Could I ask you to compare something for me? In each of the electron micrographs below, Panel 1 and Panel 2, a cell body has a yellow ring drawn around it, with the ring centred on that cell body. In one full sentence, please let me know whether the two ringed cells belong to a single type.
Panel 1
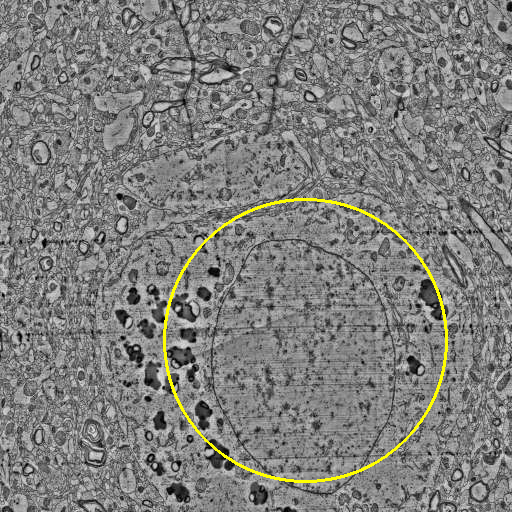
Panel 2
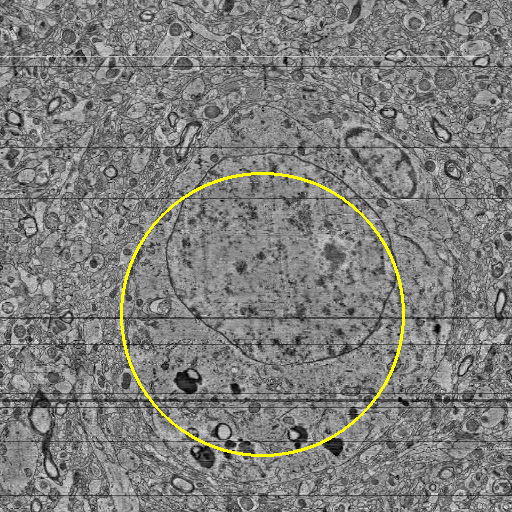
Yes, the two cells at the centres of the rings are of one type.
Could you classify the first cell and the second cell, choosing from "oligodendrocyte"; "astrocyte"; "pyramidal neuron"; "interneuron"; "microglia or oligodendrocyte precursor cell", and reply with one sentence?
In each picture the ringed cell is a pyramidal neuron.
